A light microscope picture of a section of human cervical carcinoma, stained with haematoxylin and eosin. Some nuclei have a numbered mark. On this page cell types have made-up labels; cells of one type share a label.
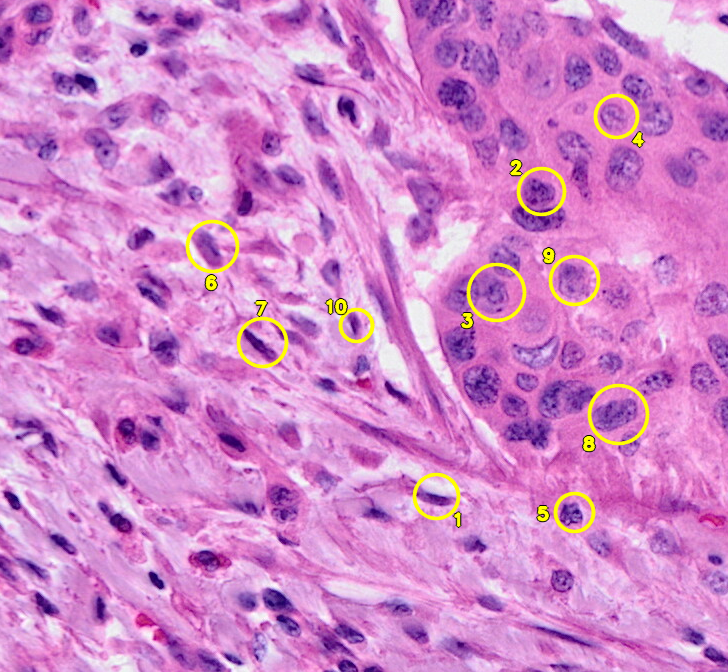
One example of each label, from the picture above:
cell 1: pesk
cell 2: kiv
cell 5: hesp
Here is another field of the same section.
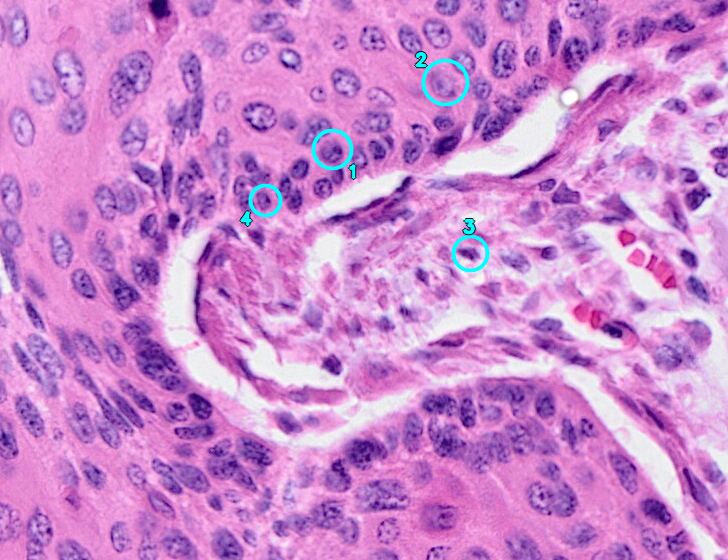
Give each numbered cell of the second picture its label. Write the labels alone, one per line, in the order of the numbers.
kiv
kiv
pesk
kiv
